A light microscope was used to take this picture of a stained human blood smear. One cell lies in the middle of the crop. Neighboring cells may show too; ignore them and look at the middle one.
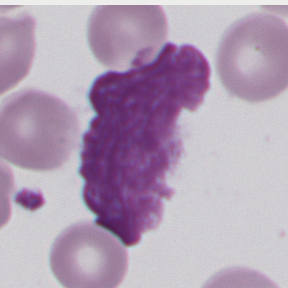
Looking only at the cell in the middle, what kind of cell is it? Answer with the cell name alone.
smudge cell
